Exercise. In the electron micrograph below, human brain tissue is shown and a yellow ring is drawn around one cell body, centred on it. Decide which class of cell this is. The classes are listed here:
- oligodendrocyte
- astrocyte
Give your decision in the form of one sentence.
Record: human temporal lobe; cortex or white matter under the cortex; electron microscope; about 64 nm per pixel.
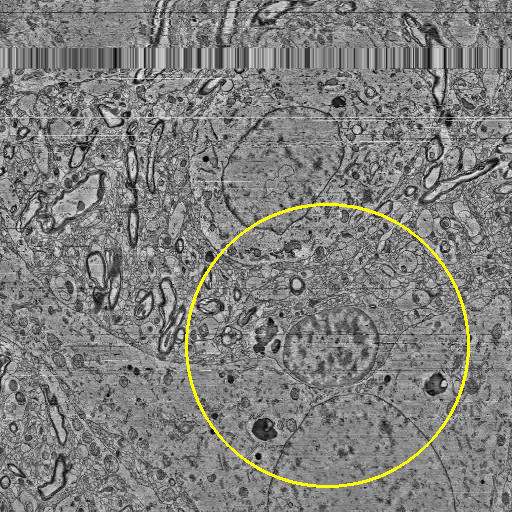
The cell body marked by the ring belongs to an oligodendrocyte.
